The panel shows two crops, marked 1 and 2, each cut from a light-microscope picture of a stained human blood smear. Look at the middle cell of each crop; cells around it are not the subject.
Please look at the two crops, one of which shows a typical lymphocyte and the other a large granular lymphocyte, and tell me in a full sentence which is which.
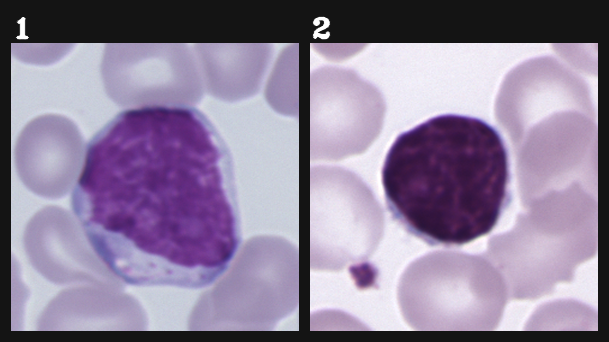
Crop 1 and crop 2 are a large granular lymphocyte and a typical lymphocyte, in that order.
